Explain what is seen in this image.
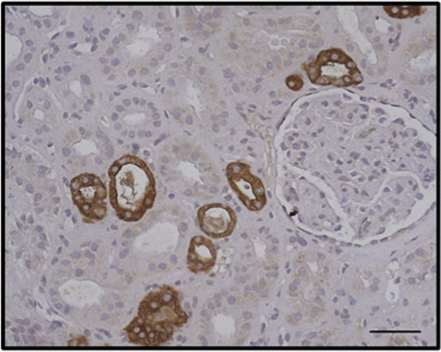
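This is kidney cortex with tubules and a glomerulus, in which a subset of tubules is strongly stained. Several small round tubular cross-sections are lined by a single layer of epithelial cells whose cytoplasm is intensely dark brown, around an open lumen that in some contains pale debris. The surrounding tubules have only a faint brownish cytoplasm with round blue nuclei. A glomerulus with its capillary tuft and surrounding capsule lies at the right and is unstained. Between the tubules lies scant interstitium with flattened nuclei.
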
